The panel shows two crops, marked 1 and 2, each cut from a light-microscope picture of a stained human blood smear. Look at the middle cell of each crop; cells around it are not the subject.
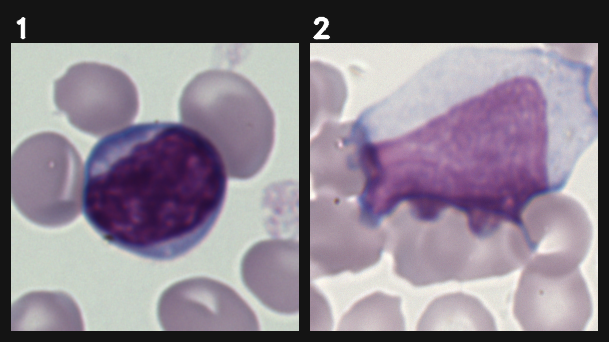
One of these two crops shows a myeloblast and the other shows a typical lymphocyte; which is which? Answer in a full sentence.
Crop 1 is a typical lymphocyte and crop 2 is a myeloblast.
